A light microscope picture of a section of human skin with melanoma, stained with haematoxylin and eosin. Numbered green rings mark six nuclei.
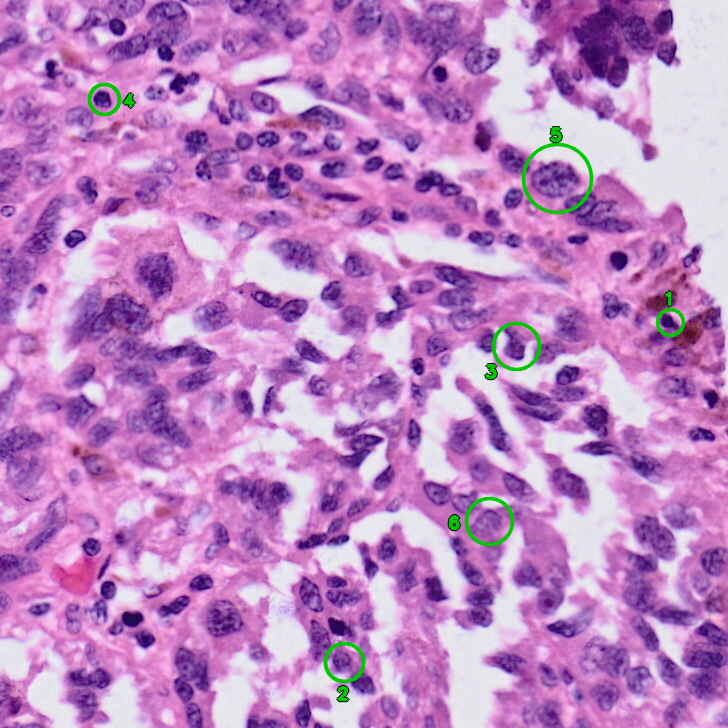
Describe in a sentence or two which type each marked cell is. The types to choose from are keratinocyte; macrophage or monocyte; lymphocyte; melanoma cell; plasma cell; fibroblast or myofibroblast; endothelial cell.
Cells 1 and 4 are lymphocytes. Cells 2, 3, 5 and 6 are melanoma cells.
